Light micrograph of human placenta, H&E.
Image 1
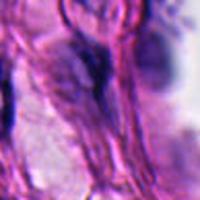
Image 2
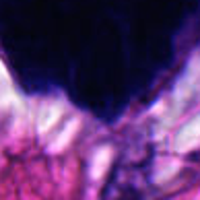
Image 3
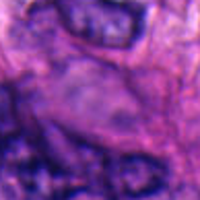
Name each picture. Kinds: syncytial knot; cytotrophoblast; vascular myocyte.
(1) vascular myocyte
(2) syncytial knot
(3) cytotrophoblast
